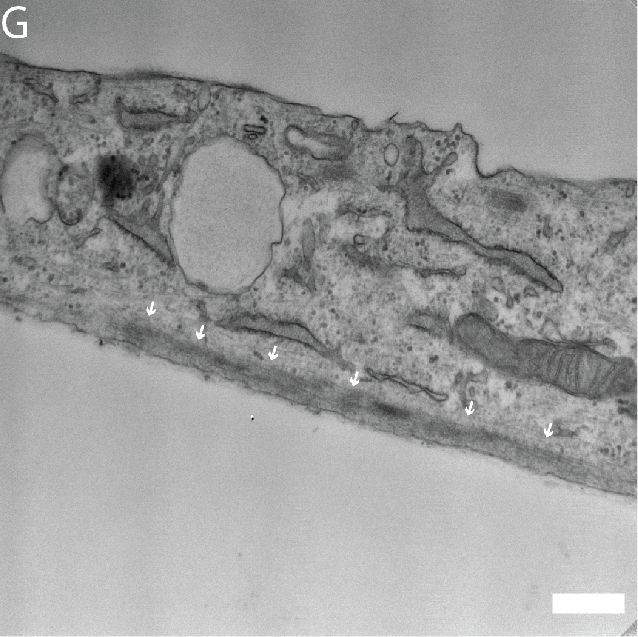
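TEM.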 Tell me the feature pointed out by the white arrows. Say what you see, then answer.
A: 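A continuous dense band of filamentous material runs just inside the lower cell membrane. The arrows line up along this band. That points to this answer: thick ventral stress fibers.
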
